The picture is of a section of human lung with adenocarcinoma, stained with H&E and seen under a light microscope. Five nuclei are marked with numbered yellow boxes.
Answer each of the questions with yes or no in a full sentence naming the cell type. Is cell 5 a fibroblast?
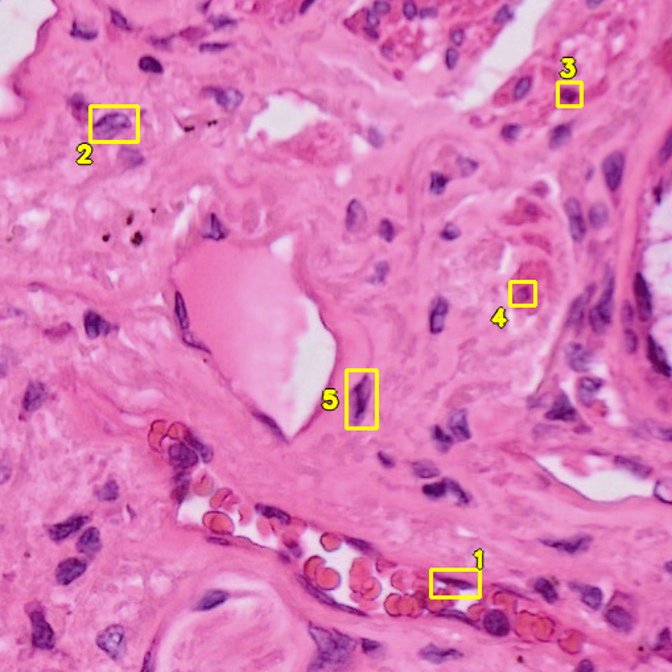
Yes, the cell that the number 5 labels is a fibroblast.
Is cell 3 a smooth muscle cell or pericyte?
Yes, the cell that has number 3 is a smooth muscle cell or pericyte.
